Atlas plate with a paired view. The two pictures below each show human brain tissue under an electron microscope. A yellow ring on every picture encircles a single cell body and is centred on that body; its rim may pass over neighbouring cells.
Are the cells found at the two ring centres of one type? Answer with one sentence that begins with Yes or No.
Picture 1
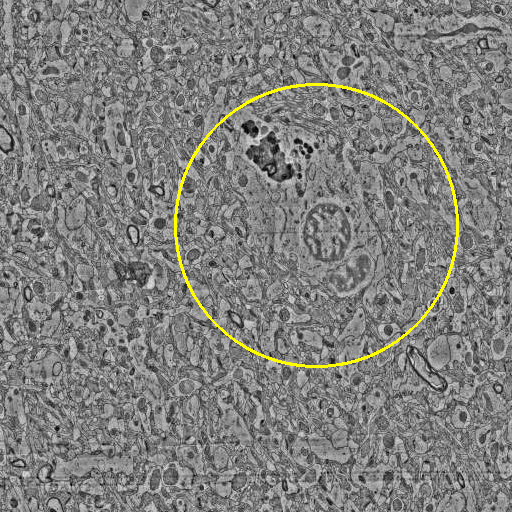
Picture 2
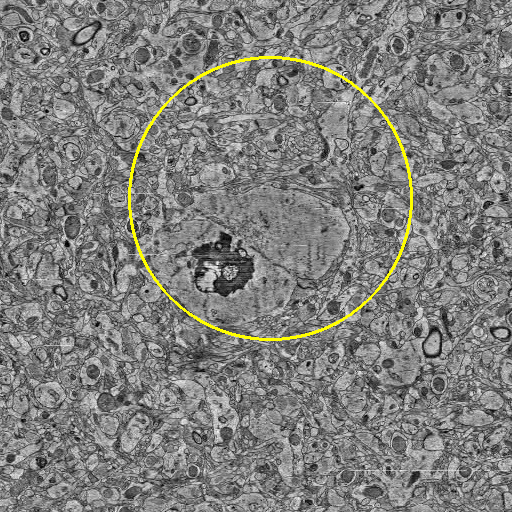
Yes, the two cells lying at the centres of the rings share a single type.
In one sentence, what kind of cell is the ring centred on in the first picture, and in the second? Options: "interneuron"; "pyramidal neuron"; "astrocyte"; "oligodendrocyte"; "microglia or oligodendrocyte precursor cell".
The cell in the first picture is an astrocyte, and so is the one in the second.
